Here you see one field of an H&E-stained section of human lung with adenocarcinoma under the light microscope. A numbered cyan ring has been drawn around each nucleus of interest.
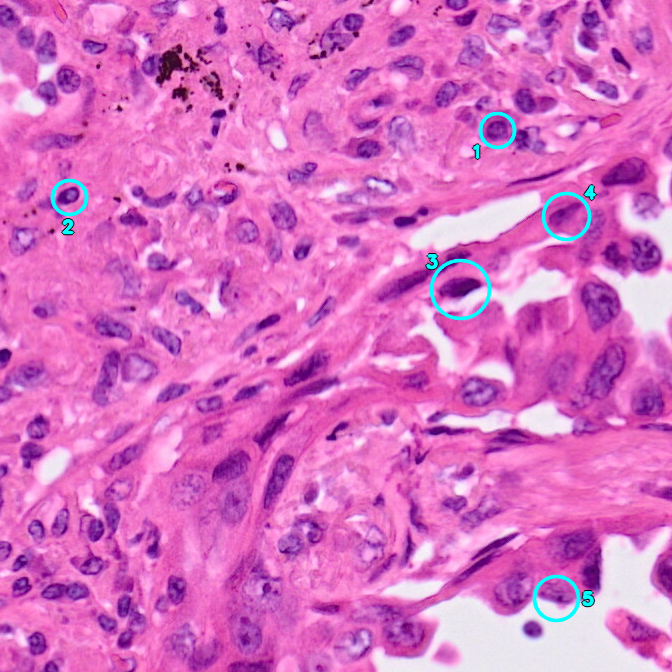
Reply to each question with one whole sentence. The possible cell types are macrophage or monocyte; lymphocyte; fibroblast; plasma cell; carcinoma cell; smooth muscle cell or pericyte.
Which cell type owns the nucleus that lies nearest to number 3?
It is a carcinoma cell whose nucleus is nearest to number 3.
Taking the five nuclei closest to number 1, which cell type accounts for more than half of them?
Around number 1, most of the five nearest nuclei are those of plasma cells.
